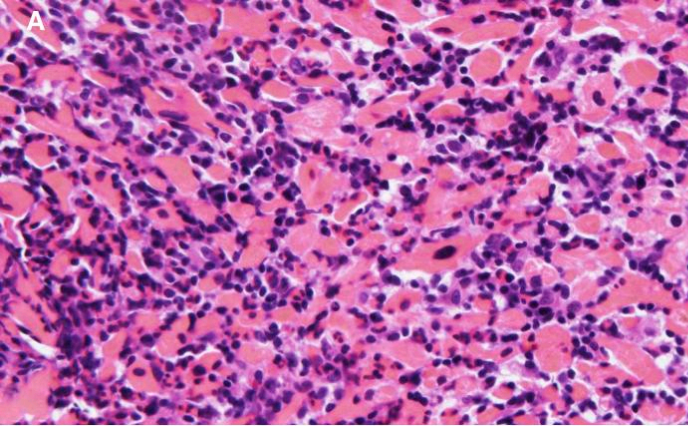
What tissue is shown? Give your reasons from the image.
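Elongated, eosinophilic muscle fibres with central oval nuclei.
Answer: myocardium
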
